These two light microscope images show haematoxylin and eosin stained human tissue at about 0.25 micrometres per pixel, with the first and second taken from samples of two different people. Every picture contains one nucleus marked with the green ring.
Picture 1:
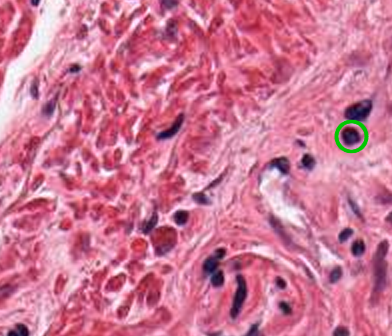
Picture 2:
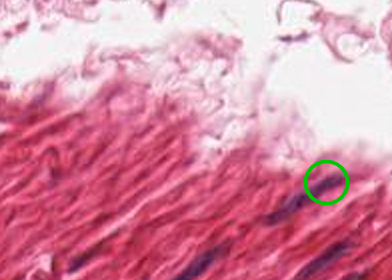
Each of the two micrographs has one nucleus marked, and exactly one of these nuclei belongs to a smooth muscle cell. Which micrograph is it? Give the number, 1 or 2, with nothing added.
2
